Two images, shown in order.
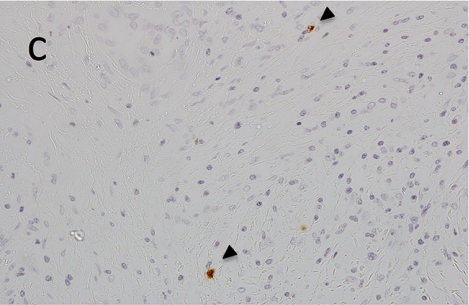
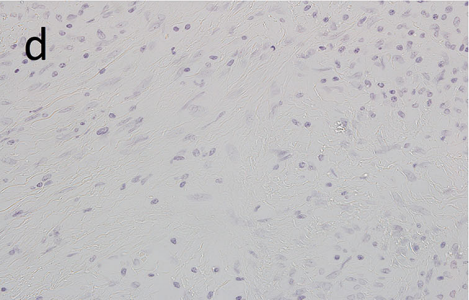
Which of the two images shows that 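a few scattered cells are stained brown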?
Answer: The first image.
